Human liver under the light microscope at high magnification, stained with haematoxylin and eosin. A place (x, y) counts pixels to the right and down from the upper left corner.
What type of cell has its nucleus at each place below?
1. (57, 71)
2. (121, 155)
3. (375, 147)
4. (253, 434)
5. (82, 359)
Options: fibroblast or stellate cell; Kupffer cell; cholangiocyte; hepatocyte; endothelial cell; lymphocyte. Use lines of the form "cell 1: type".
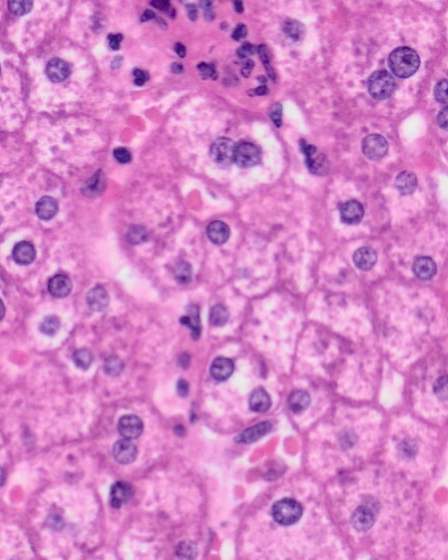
cell 1: hepatocyte
cell 2: lymphocyte
cell 3: hepatocyte
cell 4: Kupffer cell
cell 5: hepatocyte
